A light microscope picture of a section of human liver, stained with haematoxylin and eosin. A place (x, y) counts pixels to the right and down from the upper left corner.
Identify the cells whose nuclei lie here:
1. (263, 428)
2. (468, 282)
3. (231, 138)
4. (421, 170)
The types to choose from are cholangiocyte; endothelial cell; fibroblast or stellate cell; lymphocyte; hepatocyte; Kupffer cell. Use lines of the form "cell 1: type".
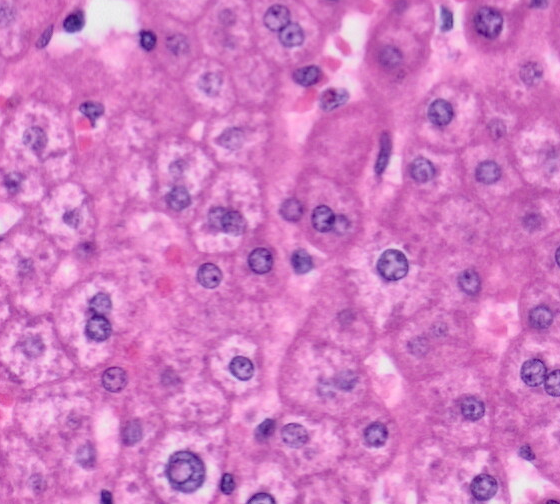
cell 1: endothelial cell
cell 2: hepatocyte
cell 3: hepatocyte
cell 4: hepatocyte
